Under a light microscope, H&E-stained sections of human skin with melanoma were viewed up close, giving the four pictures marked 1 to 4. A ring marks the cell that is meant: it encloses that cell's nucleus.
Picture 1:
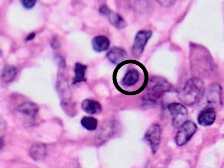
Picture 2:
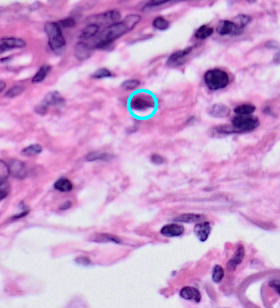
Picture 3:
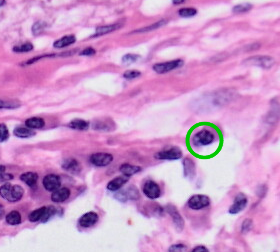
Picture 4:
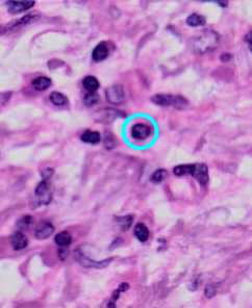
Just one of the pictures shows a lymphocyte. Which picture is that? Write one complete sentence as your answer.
Picture 1 shows the lymphocyte.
